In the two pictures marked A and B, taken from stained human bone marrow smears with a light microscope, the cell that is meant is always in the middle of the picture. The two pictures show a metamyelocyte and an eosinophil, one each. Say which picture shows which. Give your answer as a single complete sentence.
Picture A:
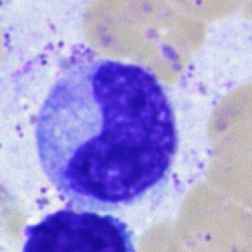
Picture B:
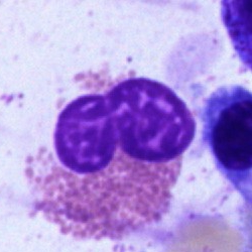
It is picture A that shows a metamyelocyte, and picture B that shows an eosinophil.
